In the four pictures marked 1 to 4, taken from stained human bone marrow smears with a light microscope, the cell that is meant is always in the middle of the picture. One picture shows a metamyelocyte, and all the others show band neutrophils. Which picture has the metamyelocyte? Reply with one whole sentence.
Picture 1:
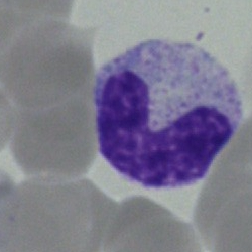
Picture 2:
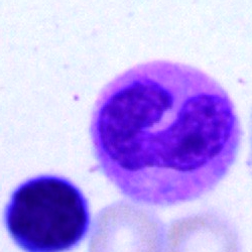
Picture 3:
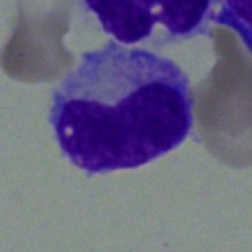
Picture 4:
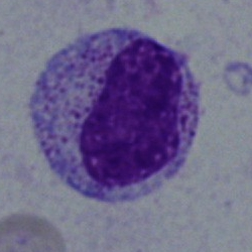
The metamyelocyte is the one in picture 4.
